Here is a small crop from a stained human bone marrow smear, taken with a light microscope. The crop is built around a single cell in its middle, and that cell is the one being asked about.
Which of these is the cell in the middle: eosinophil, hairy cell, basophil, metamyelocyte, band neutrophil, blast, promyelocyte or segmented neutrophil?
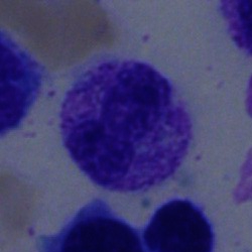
band neutrophil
